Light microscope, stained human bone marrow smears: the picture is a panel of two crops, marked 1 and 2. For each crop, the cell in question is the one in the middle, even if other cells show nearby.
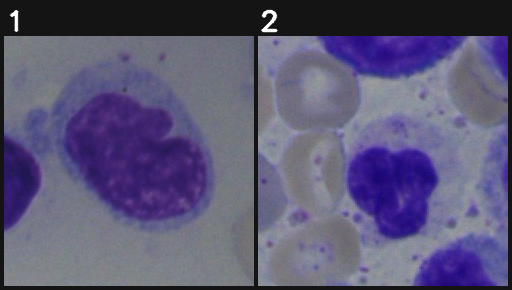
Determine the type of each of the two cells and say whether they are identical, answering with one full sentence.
No: a monocyte sits in crop 1, and a segmented neutrophil sits in crop 2.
